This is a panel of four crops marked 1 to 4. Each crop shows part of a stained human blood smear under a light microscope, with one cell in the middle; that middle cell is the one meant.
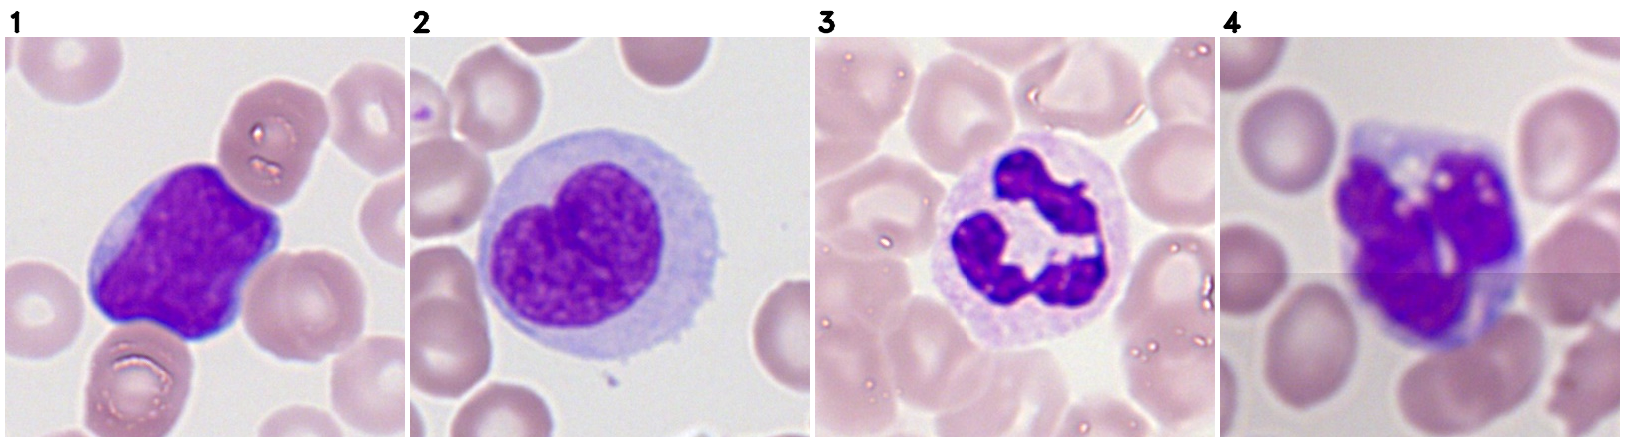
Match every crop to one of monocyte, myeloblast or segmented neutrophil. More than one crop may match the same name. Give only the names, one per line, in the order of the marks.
myeloblast
monocyte
segmented neutrophil
monocyte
